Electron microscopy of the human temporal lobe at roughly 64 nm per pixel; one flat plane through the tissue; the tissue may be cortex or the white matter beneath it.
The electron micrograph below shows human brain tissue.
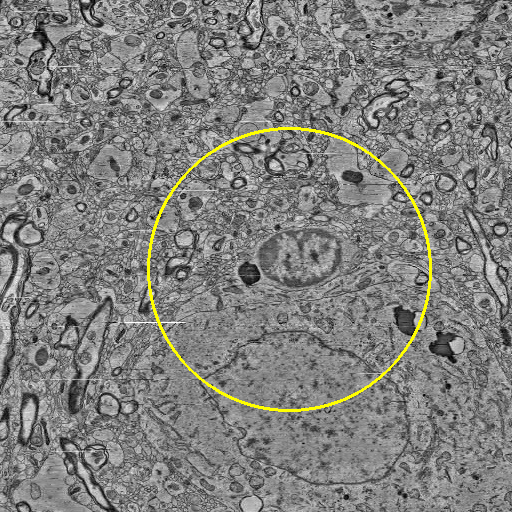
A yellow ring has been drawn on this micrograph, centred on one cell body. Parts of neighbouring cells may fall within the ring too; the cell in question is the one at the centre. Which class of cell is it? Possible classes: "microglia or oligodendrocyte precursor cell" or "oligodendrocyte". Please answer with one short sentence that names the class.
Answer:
In the centre of the ring sits an oligodendrocyte.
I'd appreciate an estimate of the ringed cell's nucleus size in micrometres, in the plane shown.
In this plane, the nucleus of the cell at the centre of the ring measures about 5 by 4 micrometres.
